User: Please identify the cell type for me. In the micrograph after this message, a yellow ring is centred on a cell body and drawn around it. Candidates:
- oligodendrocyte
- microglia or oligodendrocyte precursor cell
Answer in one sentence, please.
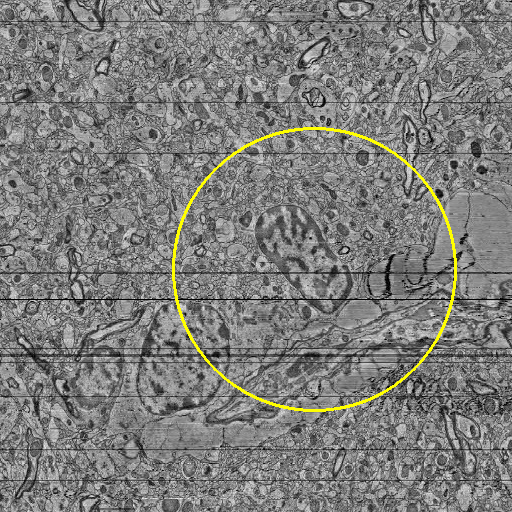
The ring is drawn around the cell body of a microglial cell or oligodendrocyte precursor cell.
